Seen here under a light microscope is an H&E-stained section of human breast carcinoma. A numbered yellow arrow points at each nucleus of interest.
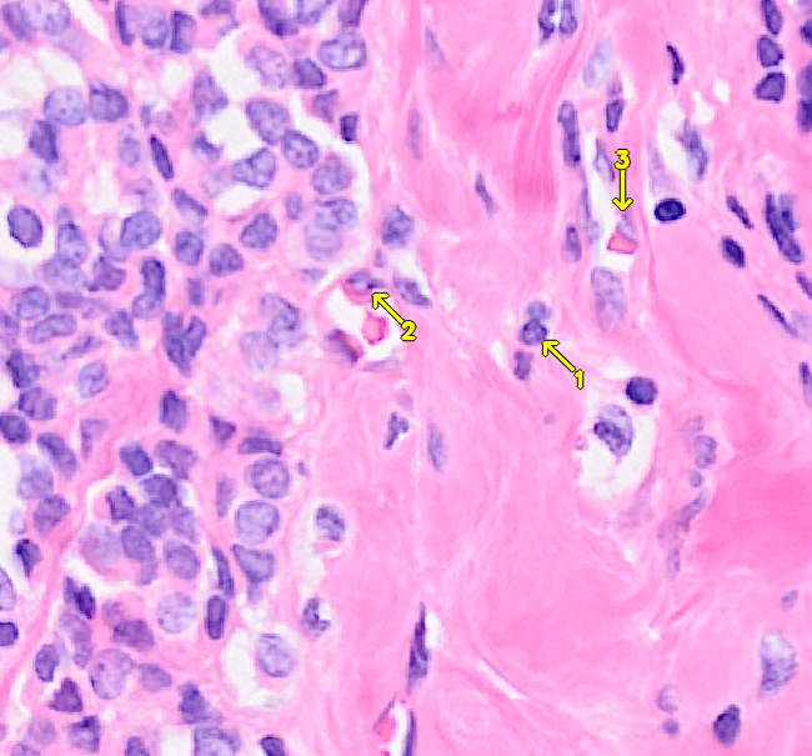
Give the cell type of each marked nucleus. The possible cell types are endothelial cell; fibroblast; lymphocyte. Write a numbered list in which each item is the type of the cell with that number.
1. lymphocyte
2. endothelial cell
3. endothelial cell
